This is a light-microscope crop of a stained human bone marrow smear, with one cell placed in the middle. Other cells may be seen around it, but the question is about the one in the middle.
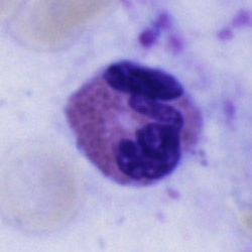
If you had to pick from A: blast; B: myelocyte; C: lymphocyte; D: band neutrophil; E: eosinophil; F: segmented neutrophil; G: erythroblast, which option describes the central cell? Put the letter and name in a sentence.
The central cell in this crop is an eosinophil, corresponding to option E, the correct option.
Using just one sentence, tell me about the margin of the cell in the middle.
Its surface contour is regular and smooth, without any protrusions.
